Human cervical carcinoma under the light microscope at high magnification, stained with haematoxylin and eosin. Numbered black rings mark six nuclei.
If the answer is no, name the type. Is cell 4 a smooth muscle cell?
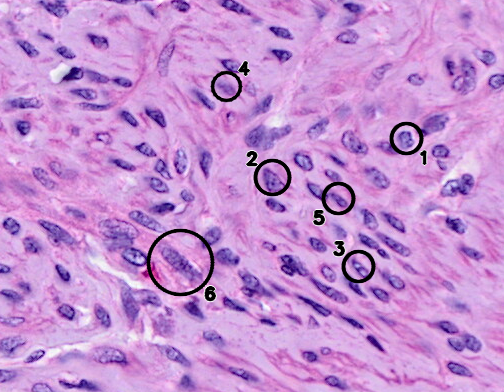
Yes.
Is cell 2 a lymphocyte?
No, it is a smooth muscle cell.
